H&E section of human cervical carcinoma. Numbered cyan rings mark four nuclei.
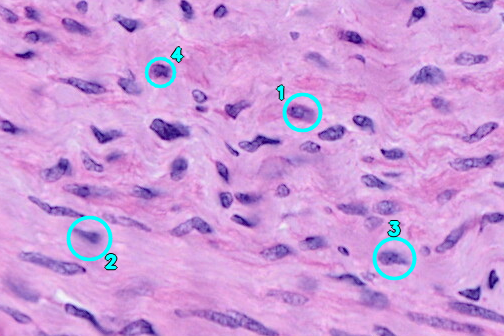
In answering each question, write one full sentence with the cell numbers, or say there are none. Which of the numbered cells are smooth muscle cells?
Within this tissue, the cells numbered 1 and 4 are smooth muscle cells.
